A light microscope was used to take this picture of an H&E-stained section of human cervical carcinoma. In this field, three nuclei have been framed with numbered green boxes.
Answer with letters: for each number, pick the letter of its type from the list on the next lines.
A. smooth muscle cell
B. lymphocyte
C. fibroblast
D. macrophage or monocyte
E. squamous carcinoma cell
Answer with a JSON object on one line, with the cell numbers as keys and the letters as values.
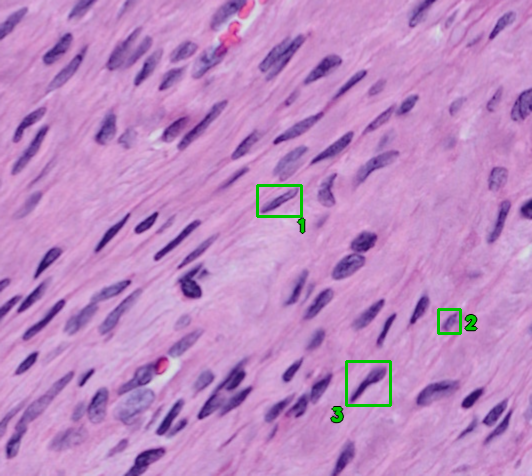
{"1": "C", "2": "A", "3": "C"}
